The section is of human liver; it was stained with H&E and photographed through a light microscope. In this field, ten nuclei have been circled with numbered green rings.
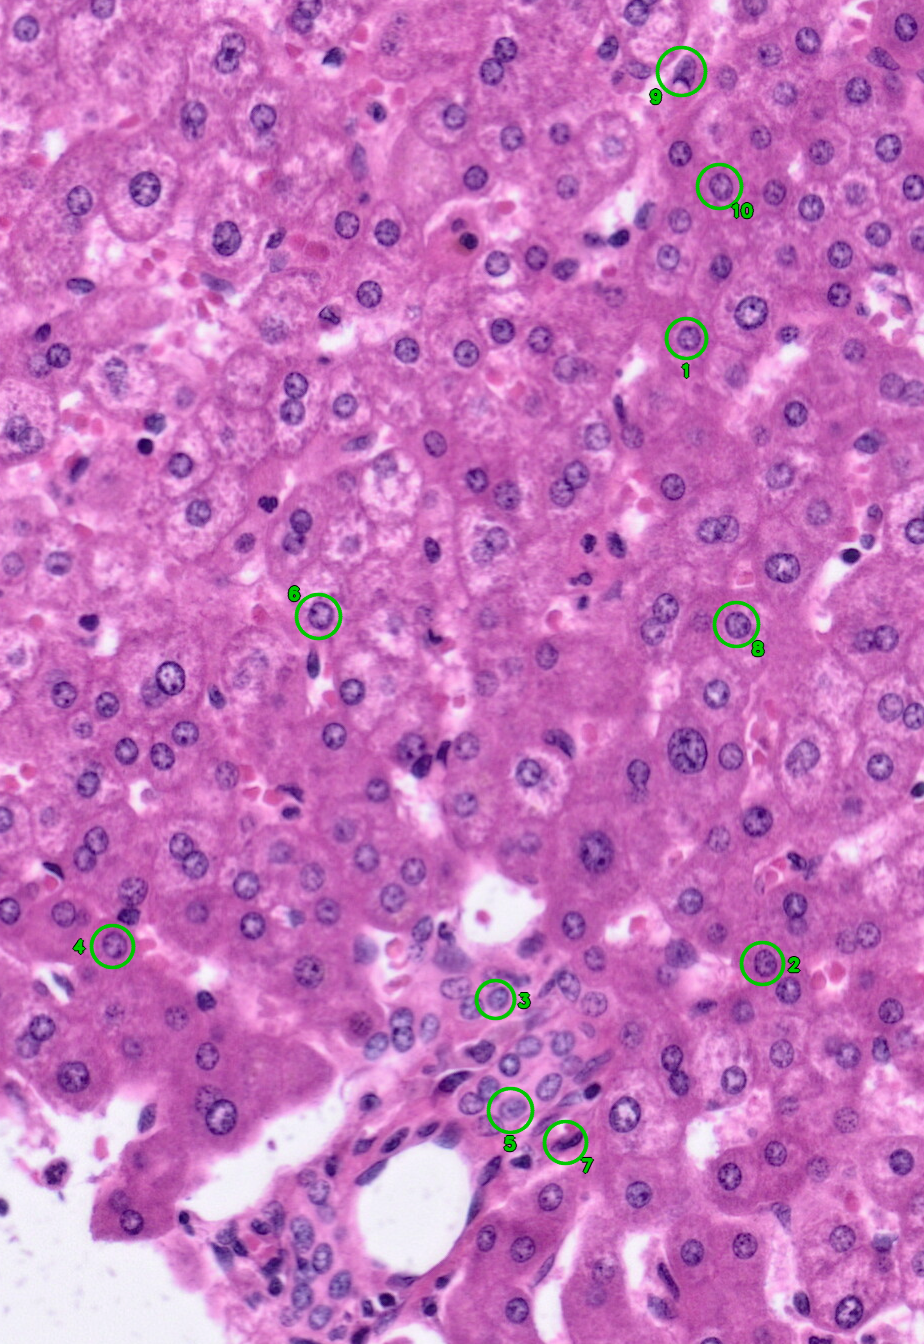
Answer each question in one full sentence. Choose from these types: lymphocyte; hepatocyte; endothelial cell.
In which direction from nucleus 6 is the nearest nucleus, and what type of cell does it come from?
Just below nucleus 6 lies the nearest nucleus, which belongs to a lymphocyte.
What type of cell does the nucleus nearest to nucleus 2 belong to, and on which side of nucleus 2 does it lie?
The closest nucleus belongs to a hepatocyte and sits below and to the right of nucleus 2.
